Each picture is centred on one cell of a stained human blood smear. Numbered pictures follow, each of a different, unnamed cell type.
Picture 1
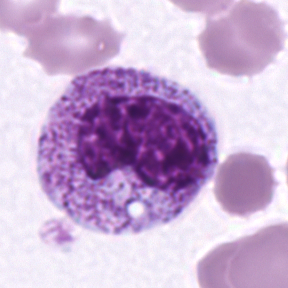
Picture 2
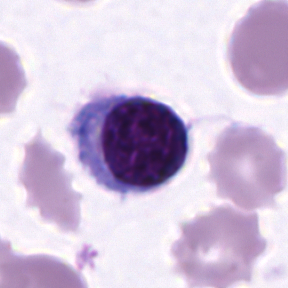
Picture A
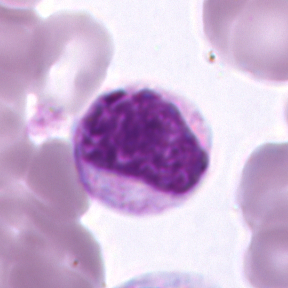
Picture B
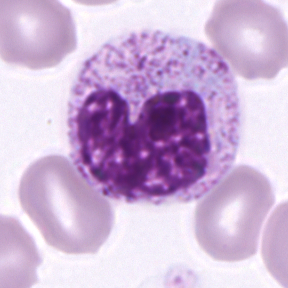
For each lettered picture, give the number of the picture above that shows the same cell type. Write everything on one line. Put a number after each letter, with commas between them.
A 1, B 1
